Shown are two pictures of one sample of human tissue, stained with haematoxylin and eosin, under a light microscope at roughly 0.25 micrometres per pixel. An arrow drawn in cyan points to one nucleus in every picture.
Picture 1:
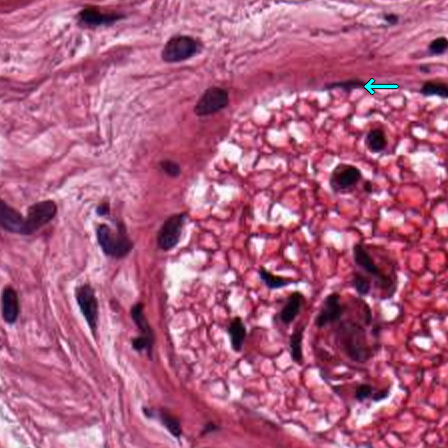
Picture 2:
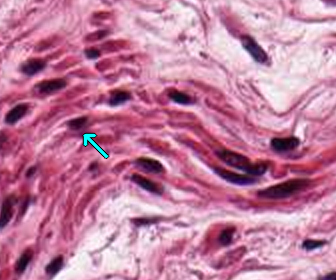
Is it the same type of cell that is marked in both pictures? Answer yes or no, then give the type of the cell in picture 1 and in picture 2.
No, the first is an endothelial cell and the second a smooth muscle cell.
